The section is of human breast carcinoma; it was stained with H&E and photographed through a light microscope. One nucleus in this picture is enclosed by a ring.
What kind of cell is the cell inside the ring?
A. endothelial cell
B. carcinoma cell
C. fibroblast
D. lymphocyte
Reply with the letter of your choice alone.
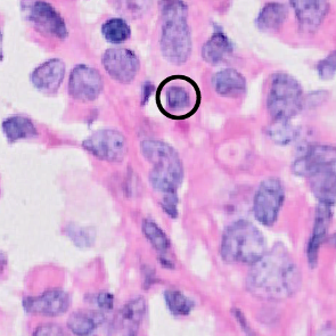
A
